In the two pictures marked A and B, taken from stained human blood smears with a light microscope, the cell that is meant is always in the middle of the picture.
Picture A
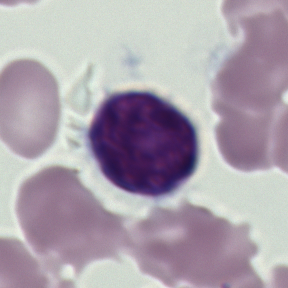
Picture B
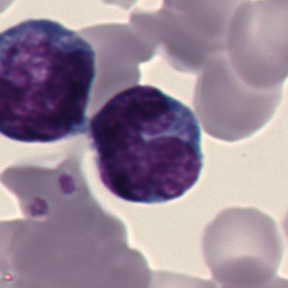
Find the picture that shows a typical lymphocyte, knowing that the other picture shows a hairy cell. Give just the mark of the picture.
B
